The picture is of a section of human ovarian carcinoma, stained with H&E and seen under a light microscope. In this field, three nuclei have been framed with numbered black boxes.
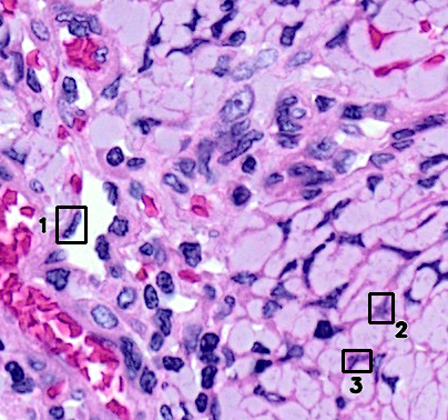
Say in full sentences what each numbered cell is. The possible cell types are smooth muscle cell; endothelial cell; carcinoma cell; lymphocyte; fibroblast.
Cell 1 is an endothelial cell. Cells 2 and 3 are fibroblasts.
